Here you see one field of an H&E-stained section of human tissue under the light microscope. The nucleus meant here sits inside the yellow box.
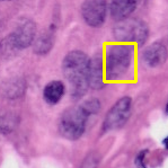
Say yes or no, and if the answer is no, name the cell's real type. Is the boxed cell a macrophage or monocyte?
No, it is a carcinoma cell.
